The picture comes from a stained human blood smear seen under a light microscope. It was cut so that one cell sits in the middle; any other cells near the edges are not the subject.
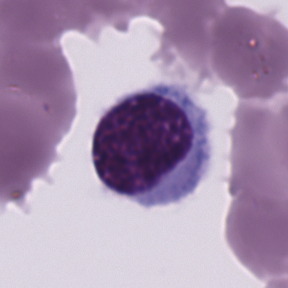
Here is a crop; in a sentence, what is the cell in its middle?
This particular crop is centered on a hairy cell.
